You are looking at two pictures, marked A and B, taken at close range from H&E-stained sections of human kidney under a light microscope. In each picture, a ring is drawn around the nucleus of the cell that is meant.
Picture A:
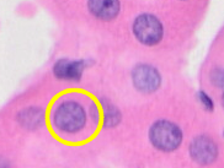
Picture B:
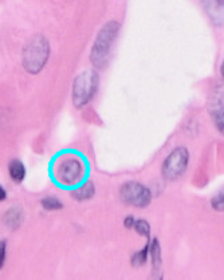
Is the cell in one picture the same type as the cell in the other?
no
